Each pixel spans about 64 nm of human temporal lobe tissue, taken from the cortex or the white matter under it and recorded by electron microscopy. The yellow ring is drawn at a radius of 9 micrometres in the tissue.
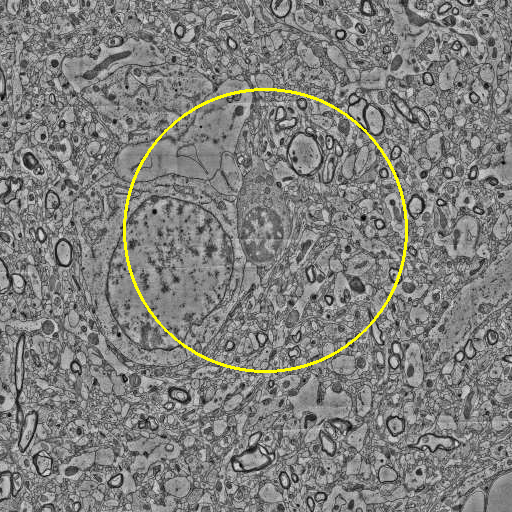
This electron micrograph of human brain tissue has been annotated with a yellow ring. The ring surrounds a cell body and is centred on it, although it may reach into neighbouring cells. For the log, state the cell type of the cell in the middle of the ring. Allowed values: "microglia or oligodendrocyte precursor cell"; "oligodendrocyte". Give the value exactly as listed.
oligodendrocyte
